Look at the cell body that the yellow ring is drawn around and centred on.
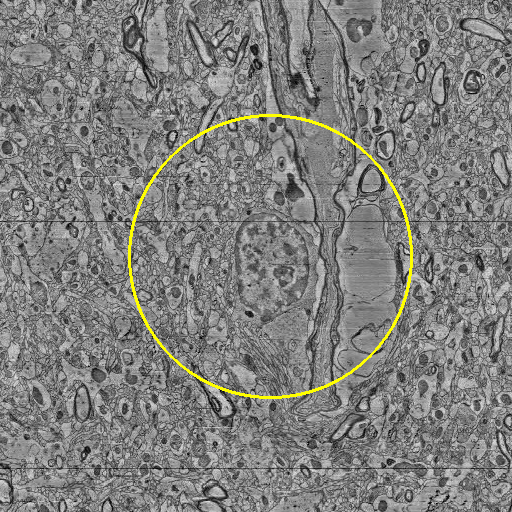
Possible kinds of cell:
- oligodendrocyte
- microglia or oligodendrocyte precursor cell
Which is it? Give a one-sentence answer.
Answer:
The centred cell body is that of an oligodendrocyte.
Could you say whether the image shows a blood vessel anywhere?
Yes.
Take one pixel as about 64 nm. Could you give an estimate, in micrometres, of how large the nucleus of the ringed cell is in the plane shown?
The nucleus works out at approximately 7 by 5 micrometres in this plane.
